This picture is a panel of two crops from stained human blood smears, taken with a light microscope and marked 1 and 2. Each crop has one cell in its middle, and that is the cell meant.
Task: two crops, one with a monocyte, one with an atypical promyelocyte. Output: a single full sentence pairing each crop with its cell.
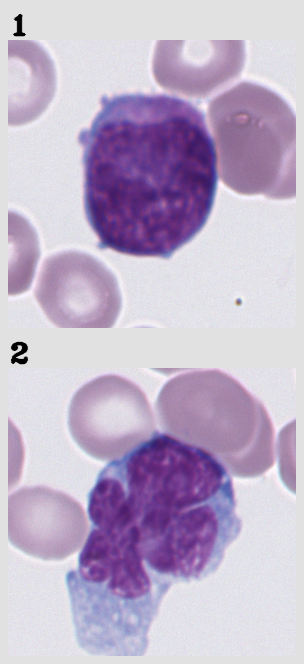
The middle of crop 1 is occupied by an atypical promyelocyte, and the middle of crop 2 by a monocyte.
